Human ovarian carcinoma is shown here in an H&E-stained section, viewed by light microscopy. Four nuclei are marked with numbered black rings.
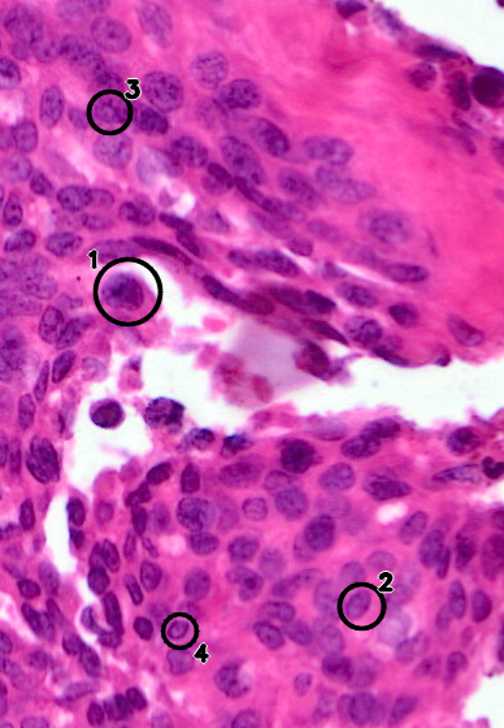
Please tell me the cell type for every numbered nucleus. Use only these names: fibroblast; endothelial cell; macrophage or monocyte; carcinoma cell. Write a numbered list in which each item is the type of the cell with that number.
1. carcinoma cell
2. carcinoma cell
3. carcinoma cell
4. macrophage or monocyte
